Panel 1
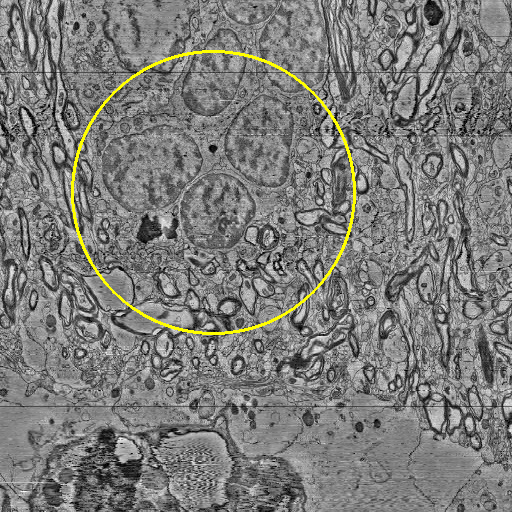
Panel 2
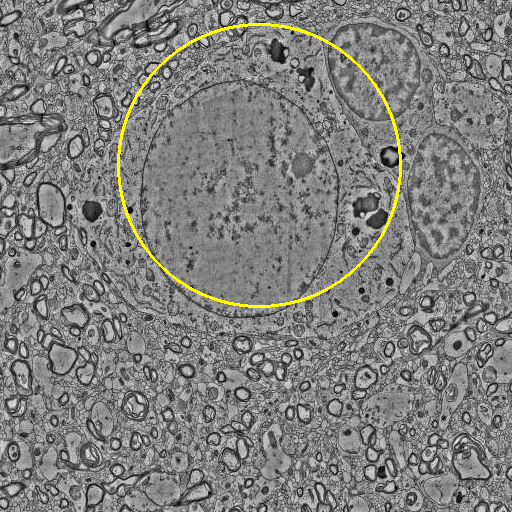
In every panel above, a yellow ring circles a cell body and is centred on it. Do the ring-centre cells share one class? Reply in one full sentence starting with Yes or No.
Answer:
No, the two cells at the ring centres in the panels belong to two classes.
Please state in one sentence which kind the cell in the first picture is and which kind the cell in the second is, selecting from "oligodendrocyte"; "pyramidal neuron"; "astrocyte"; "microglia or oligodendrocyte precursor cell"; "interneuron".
The first ringed cell is an oligodendrocyte, the second ringed cell a pyramidal neuron.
